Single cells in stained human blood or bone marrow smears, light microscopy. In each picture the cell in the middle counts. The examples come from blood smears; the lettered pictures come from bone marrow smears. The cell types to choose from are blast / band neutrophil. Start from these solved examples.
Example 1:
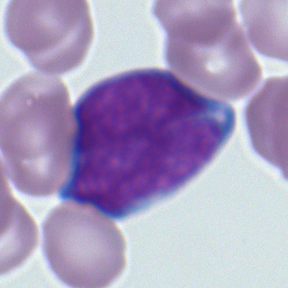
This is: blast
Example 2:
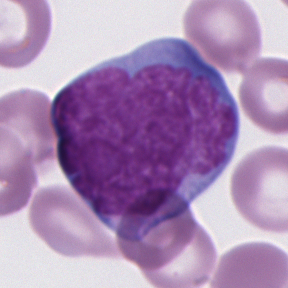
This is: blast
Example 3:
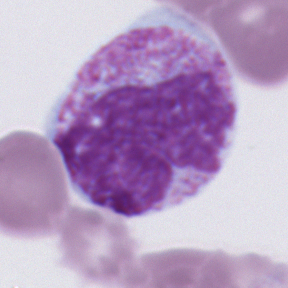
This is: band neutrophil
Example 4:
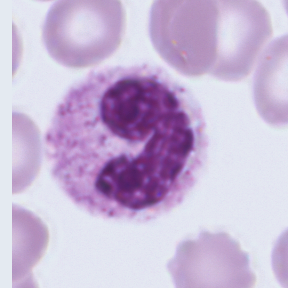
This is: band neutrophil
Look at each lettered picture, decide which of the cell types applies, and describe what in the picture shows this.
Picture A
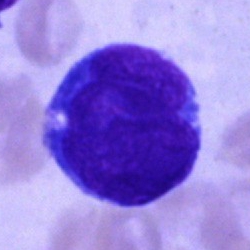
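blast. Reason: The nucleus fills most of the cell.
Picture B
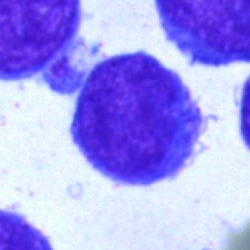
blast. Reason: The cytoplasm is only a scant rim of deep blue around the nucleus.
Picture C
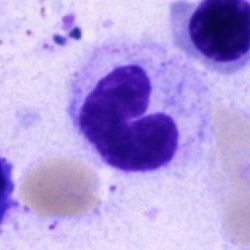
band neutrophil. Reason: The cytoplasm is abundant and pale lilac-grey.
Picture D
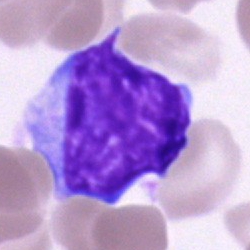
blast. Reason: The nucleus is a single unlobed mass that fills most of the cell.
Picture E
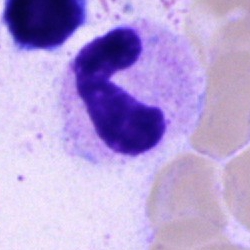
band neutrophil. Reason: The cytoplasm is abundant and pale pinkish-lilac.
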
